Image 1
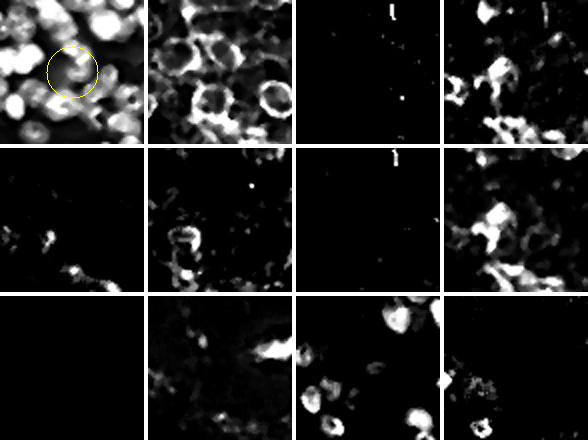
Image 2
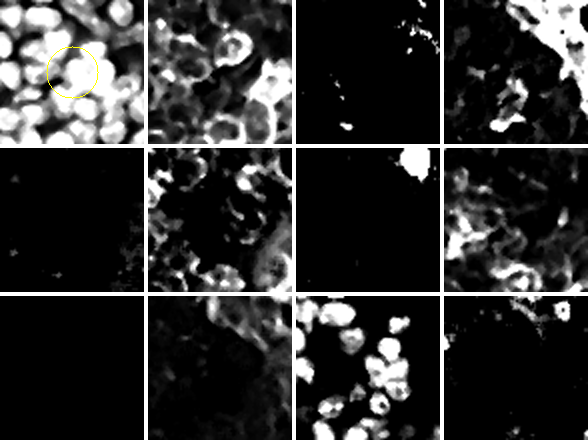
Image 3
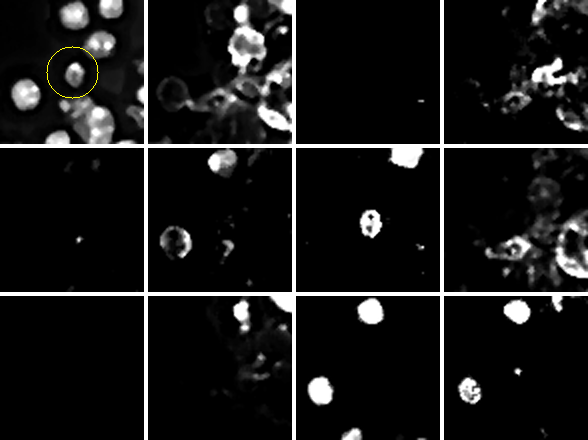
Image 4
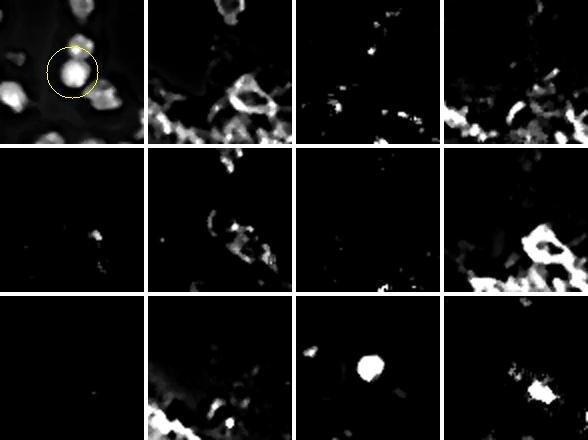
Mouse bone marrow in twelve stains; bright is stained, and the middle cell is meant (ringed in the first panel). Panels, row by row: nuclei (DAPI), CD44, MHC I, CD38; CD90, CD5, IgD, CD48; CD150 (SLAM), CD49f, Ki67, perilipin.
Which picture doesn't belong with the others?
Picture 3.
